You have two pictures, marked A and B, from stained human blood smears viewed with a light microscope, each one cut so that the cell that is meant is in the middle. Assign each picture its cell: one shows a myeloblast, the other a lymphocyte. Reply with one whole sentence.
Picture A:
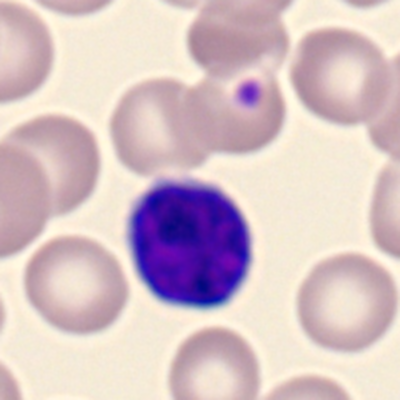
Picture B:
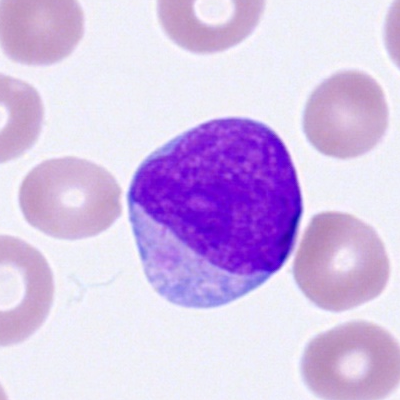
It is picture A that shows a lymphocyte, and picture B that shows a myeloblast.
